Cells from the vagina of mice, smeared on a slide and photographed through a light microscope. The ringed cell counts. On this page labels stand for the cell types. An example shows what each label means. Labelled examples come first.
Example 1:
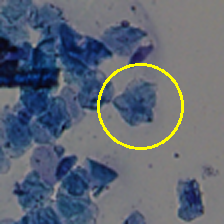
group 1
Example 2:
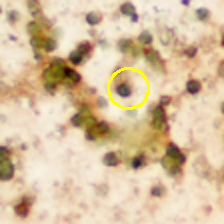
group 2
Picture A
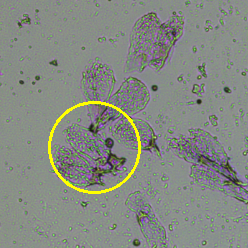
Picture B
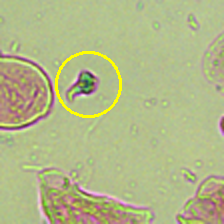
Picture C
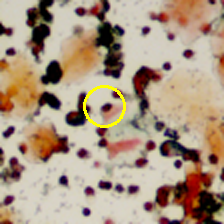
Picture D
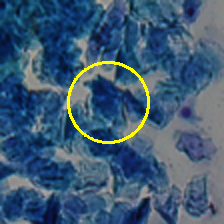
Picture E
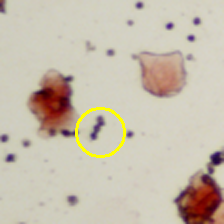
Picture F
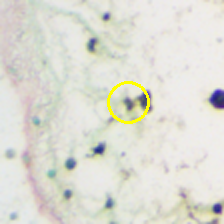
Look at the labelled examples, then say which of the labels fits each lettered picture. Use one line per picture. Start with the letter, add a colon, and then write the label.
A: group 1
B: group 2
C: group 2
D: group 1
E: group 2
F: group 2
